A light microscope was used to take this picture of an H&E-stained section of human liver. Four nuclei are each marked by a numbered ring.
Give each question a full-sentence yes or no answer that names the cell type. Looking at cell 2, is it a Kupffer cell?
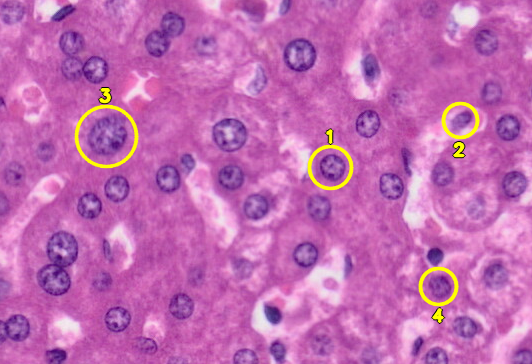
Yes, the one with the number 2 is a Kupffer cell.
